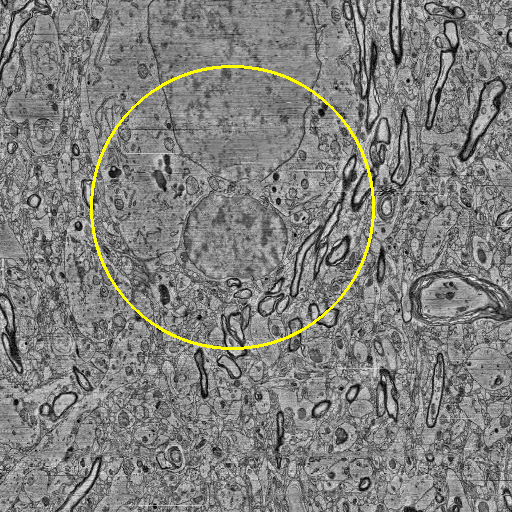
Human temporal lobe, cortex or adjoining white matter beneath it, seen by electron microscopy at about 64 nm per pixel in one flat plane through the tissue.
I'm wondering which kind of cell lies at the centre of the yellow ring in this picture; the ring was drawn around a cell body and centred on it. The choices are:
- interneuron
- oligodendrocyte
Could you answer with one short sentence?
At the centre of the ring lies an oligodendrocyte.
